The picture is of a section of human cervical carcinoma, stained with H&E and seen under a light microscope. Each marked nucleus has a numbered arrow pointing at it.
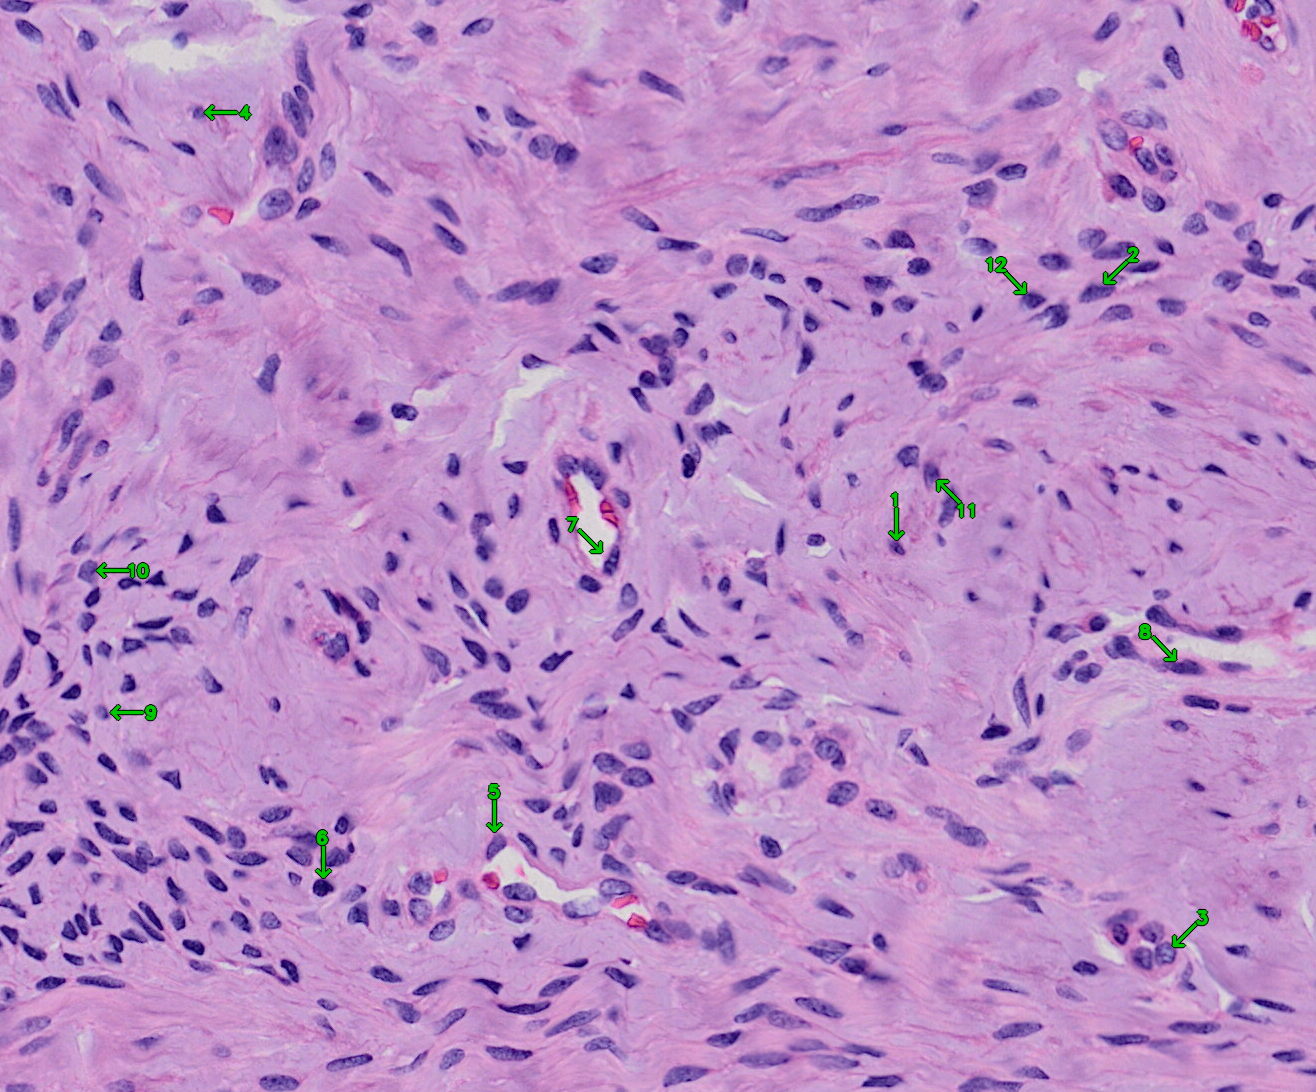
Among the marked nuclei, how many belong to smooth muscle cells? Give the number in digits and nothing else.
3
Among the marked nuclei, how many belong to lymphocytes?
1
